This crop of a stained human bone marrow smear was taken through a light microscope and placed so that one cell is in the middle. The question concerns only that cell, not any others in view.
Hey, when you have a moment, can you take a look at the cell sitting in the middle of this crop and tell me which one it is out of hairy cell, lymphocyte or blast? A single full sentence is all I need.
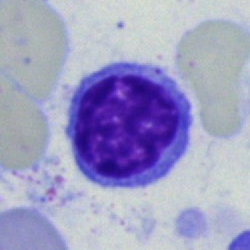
The centrally located cell in the crop is a lymphocyte.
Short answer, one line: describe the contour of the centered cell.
The cell shows a smooth outline that lacks any surface projections.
